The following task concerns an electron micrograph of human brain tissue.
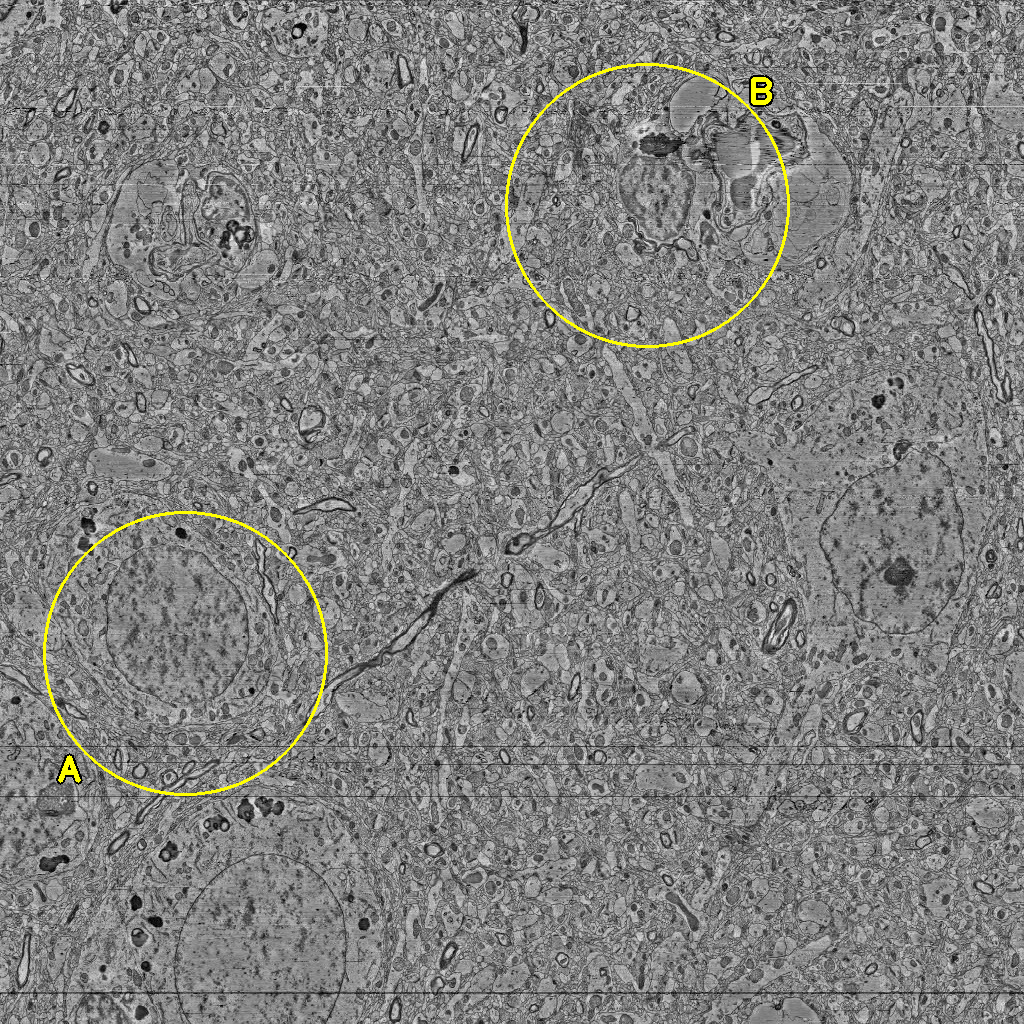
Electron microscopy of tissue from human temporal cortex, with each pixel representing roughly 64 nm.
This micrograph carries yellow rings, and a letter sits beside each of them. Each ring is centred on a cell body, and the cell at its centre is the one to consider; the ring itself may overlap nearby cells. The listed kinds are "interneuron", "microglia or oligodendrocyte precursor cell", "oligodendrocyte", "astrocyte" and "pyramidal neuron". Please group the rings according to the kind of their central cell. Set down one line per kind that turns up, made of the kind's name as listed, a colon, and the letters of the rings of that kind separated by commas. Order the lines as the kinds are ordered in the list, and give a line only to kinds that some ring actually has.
interneuron: A
oligodendrocyte: B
